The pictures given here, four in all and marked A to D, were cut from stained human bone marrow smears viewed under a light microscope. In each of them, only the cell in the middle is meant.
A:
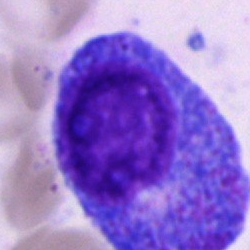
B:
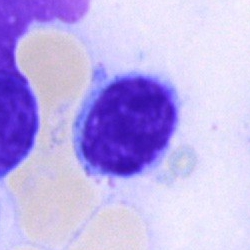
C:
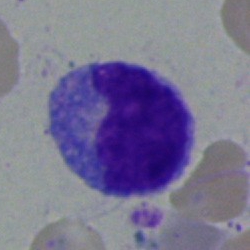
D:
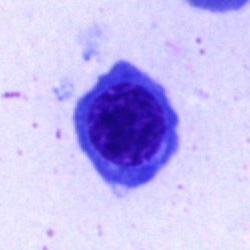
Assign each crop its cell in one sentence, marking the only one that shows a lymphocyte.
Crop B exhibits a lymphocyte, while crop A is a promyelocyte, crop C is a monocyte and crop D is an erythroblast.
